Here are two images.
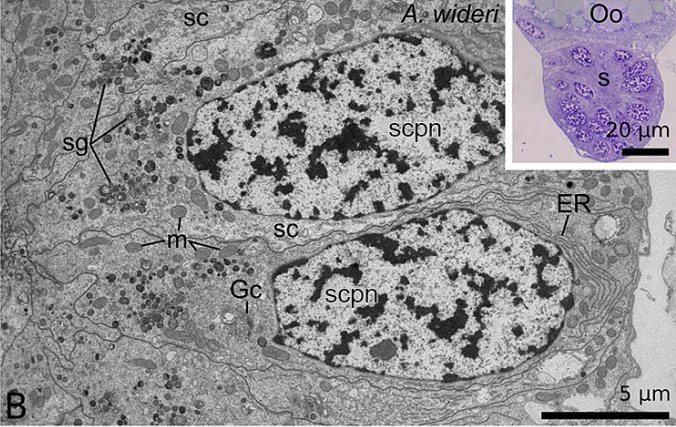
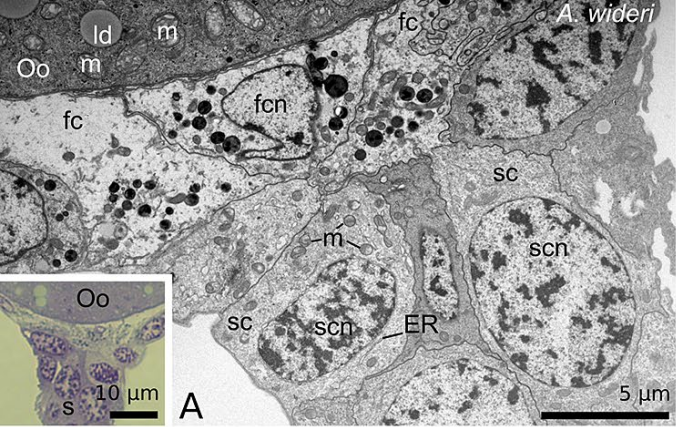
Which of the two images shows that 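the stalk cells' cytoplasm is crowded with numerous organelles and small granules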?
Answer: the first image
